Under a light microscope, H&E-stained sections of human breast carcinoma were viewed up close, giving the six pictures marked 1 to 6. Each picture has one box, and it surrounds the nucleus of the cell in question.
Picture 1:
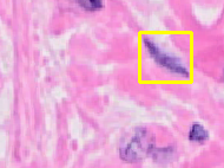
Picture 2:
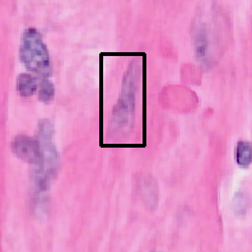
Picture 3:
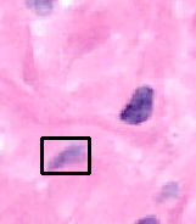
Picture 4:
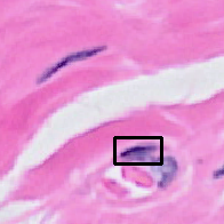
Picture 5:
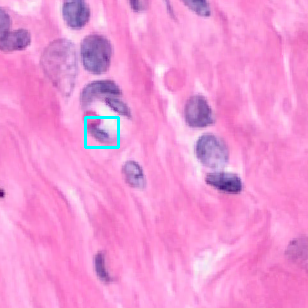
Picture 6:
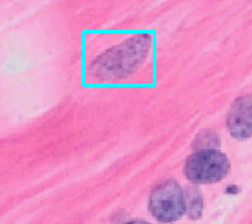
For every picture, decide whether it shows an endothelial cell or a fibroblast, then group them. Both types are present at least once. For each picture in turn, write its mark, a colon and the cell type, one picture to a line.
1: fibroblast
2: fibroblast
3: fibroblast
4: endothelial cell
5: endothelial cell
6: fibroblast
